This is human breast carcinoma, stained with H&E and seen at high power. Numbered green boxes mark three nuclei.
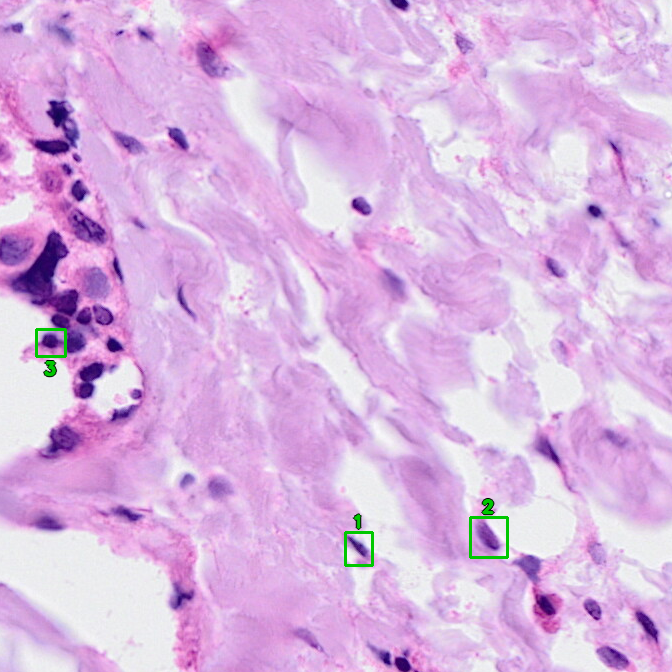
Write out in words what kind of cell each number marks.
Cells 1 and 2 are fibroblasts. Cell 3 is a lymphocyte.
